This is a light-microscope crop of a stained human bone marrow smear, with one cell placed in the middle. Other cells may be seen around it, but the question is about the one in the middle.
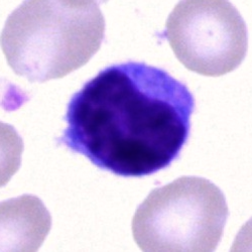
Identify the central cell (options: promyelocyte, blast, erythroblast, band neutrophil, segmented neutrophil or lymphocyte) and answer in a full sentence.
Classified as a lymphocyte is the cell in the middle of this crop.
